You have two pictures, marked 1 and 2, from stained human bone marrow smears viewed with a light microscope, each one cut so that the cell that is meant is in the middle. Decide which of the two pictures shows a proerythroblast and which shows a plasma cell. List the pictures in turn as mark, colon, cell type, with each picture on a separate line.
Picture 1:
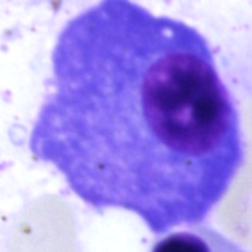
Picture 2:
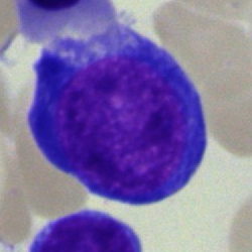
1: plasma cell
2: proerythroblast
